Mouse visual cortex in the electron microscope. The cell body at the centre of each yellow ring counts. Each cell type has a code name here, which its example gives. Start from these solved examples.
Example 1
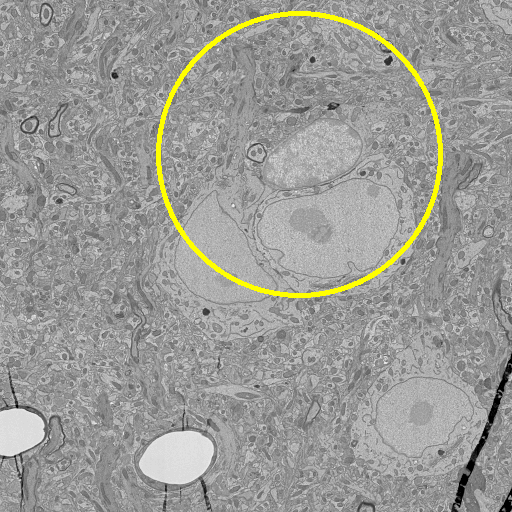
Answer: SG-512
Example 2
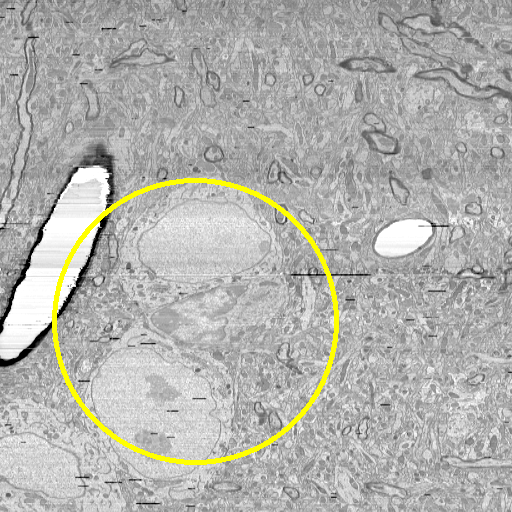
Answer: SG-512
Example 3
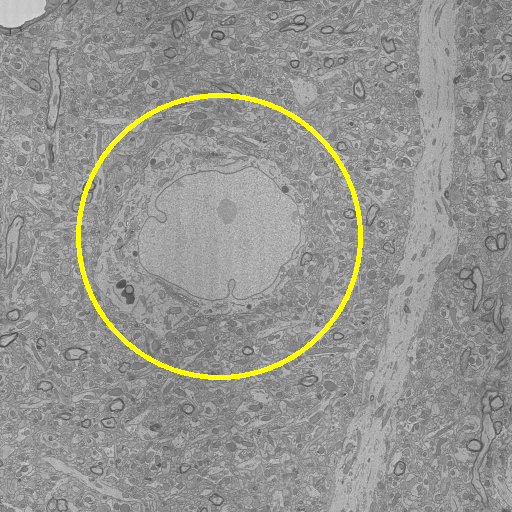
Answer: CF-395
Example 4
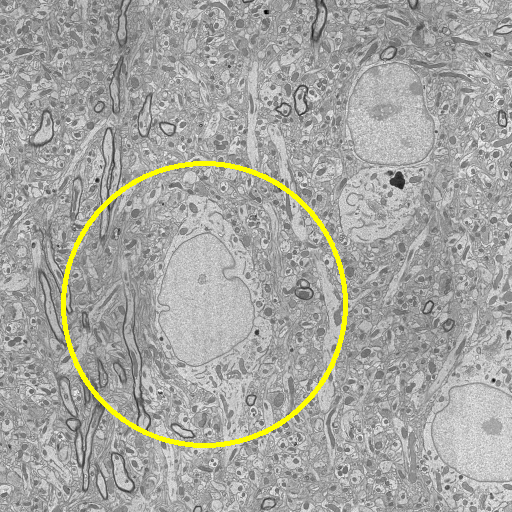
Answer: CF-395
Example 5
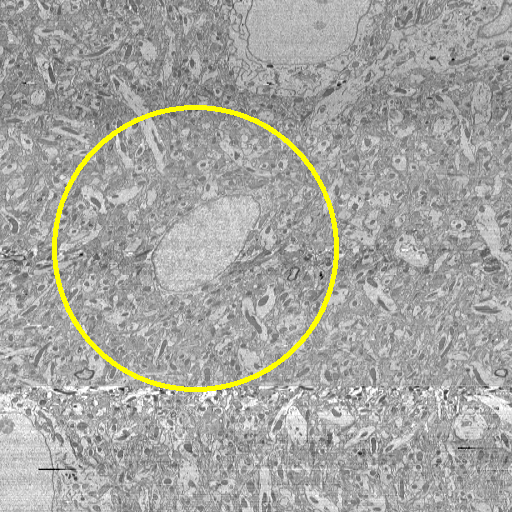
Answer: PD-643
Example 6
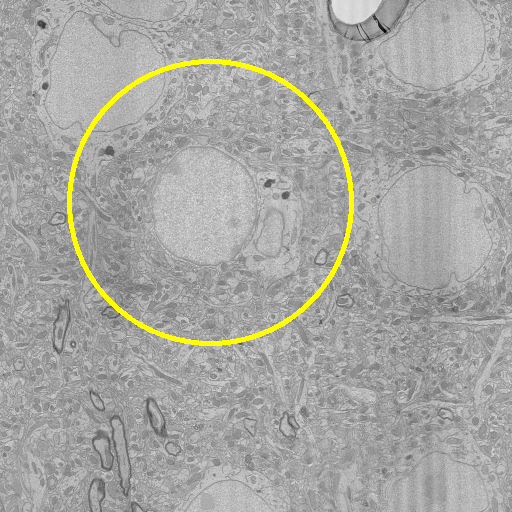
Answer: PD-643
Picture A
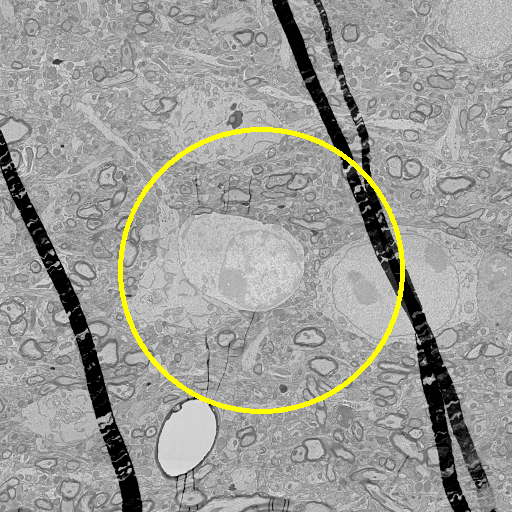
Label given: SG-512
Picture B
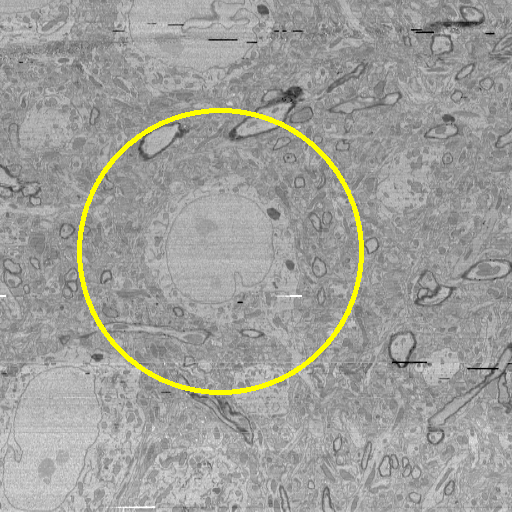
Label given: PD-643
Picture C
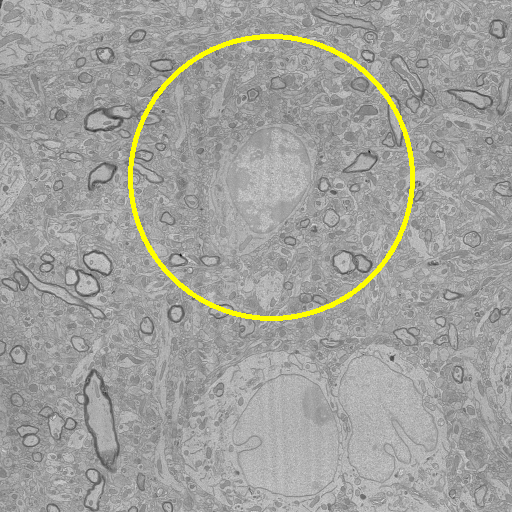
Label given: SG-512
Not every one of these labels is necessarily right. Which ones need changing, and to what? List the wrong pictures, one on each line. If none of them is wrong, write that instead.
B is labelled PD-643; correct label: CF-395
